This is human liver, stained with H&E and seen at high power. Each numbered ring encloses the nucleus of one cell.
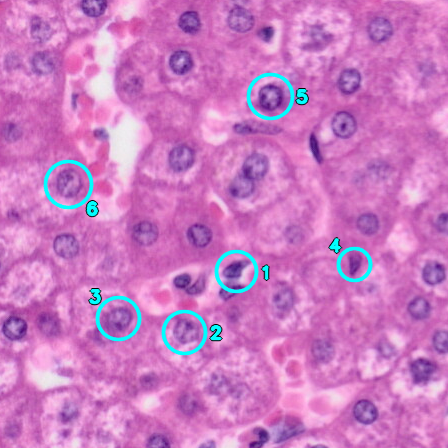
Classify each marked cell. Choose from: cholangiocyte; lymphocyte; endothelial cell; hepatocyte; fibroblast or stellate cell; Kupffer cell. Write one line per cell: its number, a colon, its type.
1: lymphocyte
2: hepatocyte
3: hepatocyte
4: fibroblast or stellate cell
5: hepatocyte
6: hepatocyte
